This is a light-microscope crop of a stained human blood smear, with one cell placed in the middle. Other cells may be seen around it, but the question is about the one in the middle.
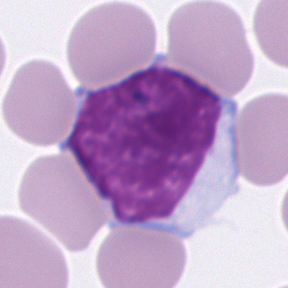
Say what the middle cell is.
typical lymphocyte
